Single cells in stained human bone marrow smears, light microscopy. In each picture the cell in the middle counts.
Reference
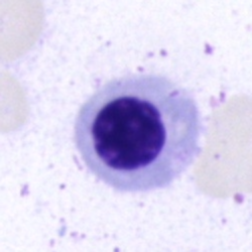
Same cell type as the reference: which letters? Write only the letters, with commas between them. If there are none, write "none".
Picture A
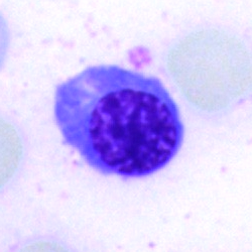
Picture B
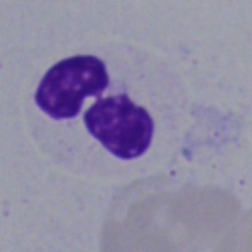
A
